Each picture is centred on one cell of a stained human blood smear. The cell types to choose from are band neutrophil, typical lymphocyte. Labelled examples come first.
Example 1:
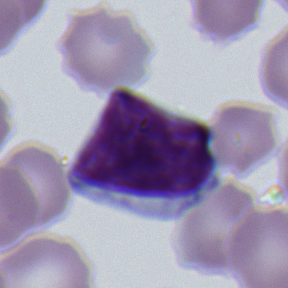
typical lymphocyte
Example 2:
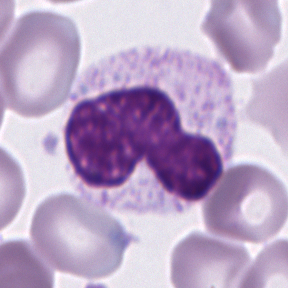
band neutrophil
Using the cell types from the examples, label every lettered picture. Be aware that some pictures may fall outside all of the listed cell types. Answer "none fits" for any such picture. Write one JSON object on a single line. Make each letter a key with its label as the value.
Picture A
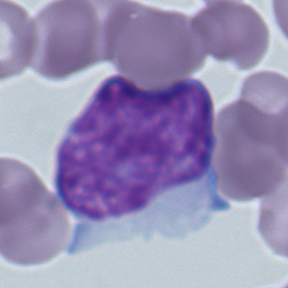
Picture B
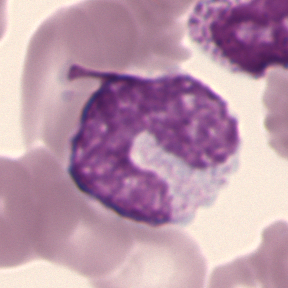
{"A": "none fits", "B": "band neutrophil"}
